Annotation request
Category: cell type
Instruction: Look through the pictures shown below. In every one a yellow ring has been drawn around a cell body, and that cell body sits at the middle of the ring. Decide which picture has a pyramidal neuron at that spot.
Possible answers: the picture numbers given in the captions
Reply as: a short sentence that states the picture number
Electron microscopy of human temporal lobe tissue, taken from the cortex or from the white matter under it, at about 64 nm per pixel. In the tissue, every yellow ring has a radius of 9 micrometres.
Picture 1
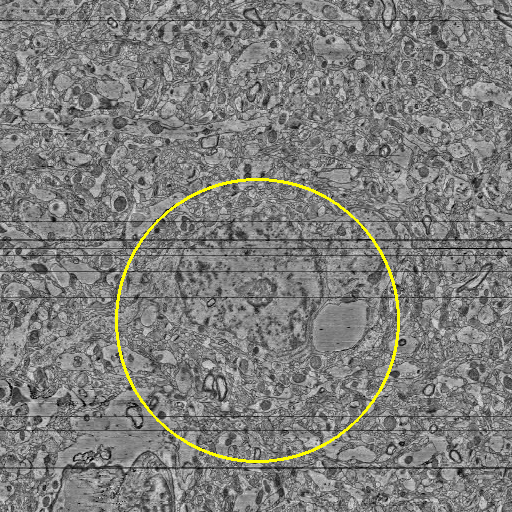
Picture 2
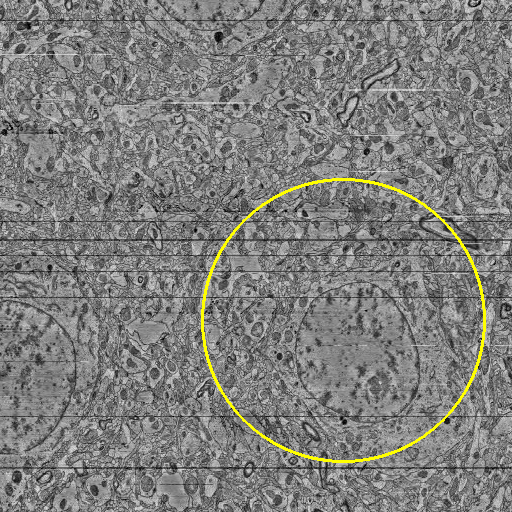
It is in Picture 2.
